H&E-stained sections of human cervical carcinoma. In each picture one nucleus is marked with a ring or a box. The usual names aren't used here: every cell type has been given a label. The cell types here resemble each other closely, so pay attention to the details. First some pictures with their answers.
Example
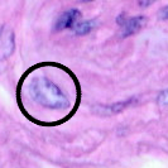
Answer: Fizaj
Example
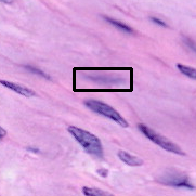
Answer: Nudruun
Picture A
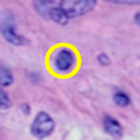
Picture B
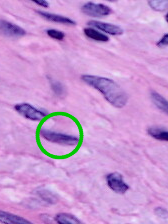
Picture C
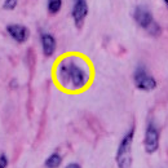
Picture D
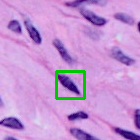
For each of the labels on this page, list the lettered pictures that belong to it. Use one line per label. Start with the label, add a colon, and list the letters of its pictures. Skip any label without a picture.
Fizaj: A, C
Nudruun: B, D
